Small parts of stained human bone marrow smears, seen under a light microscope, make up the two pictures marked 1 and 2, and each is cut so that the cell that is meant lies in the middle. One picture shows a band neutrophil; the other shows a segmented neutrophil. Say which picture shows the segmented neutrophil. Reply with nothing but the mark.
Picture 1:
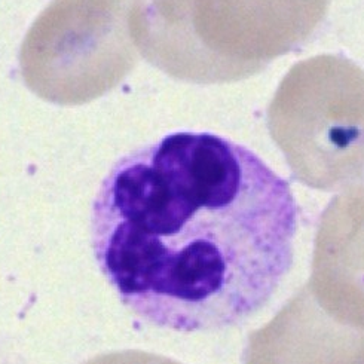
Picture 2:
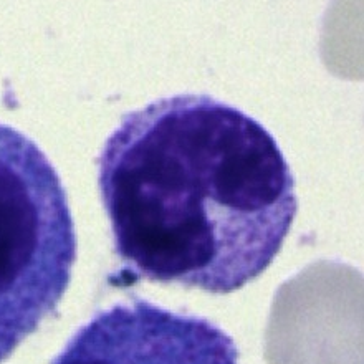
1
